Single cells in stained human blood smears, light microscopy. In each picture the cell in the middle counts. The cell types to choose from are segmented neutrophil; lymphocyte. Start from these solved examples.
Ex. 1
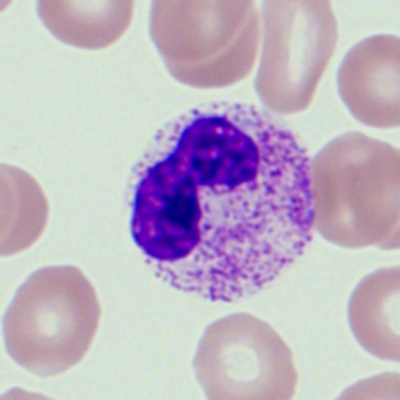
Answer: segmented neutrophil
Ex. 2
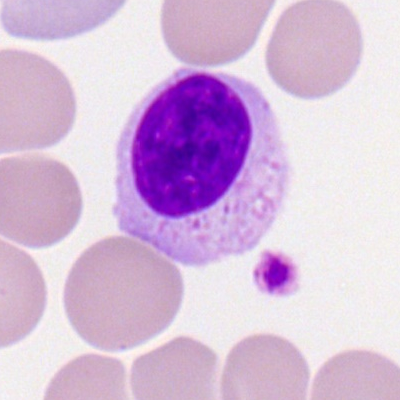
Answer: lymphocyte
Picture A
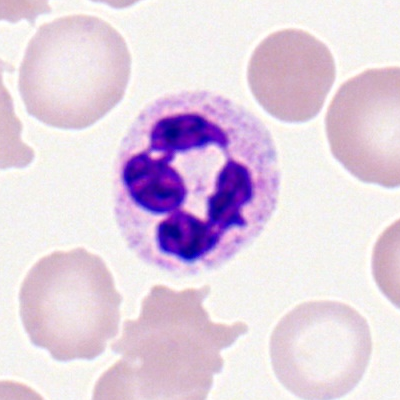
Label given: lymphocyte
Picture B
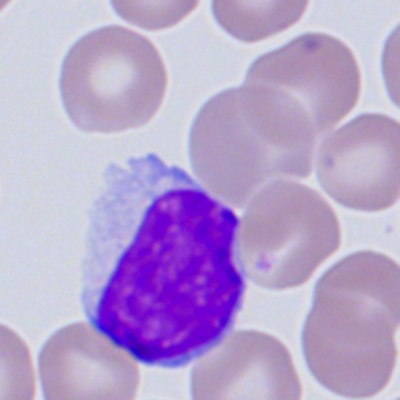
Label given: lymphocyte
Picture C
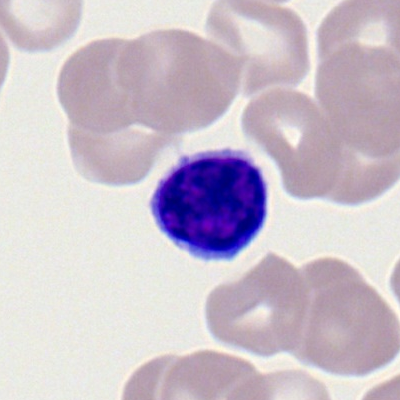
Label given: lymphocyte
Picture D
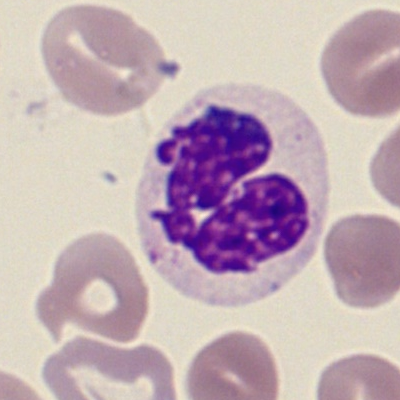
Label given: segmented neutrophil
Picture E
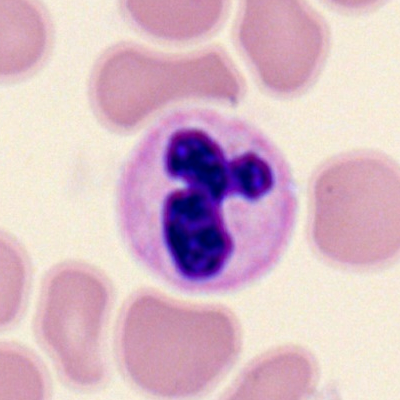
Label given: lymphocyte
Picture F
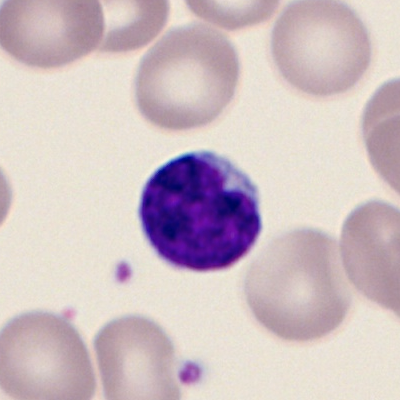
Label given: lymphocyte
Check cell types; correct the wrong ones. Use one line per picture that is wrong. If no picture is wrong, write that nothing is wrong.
A: segmented neutrophil, not lymphocyte
E: segmented neutrophil, not lymphocyte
